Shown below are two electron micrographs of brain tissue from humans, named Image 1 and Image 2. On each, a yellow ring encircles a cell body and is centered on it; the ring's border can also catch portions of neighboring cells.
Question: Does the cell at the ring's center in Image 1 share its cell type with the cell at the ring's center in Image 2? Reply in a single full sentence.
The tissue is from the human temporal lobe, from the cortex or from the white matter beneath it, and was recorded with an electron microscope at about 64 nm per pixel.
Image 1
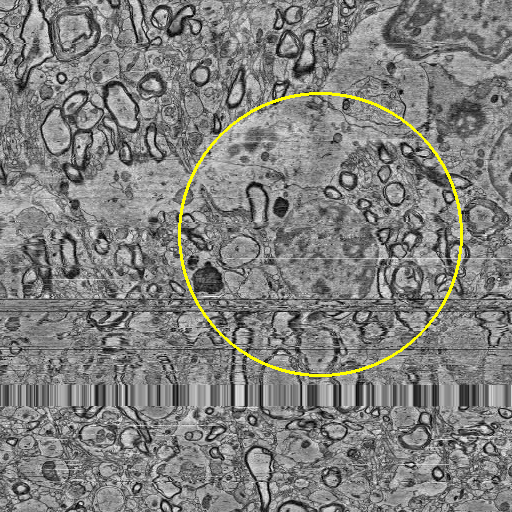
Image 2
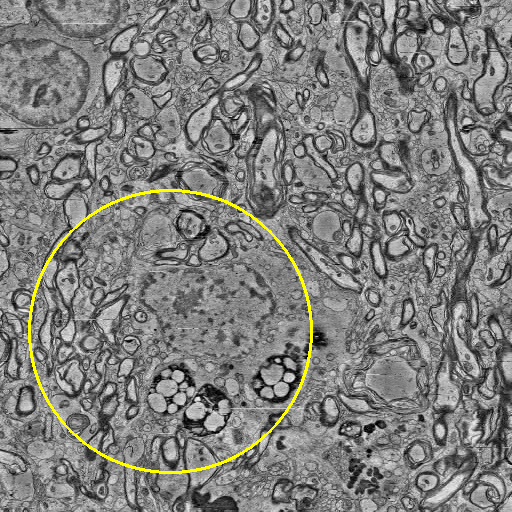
No, the two cells at the ring centers, in Image 1 and Image 2, are of two cell types.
